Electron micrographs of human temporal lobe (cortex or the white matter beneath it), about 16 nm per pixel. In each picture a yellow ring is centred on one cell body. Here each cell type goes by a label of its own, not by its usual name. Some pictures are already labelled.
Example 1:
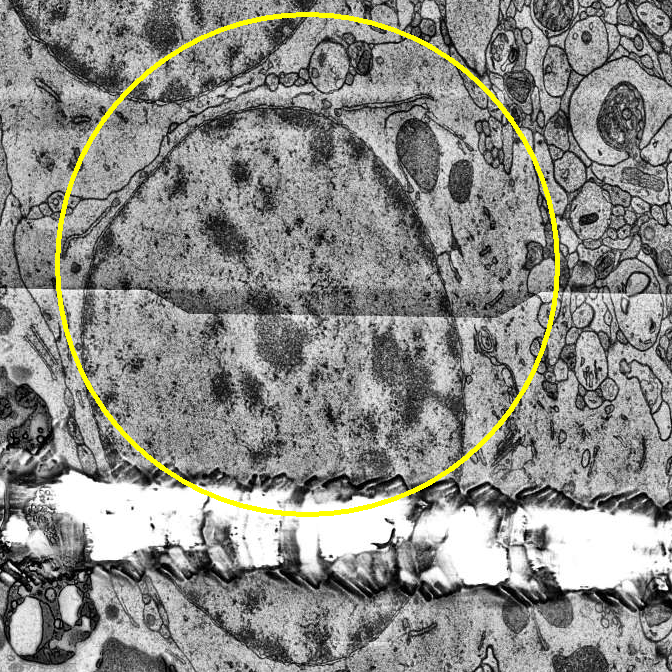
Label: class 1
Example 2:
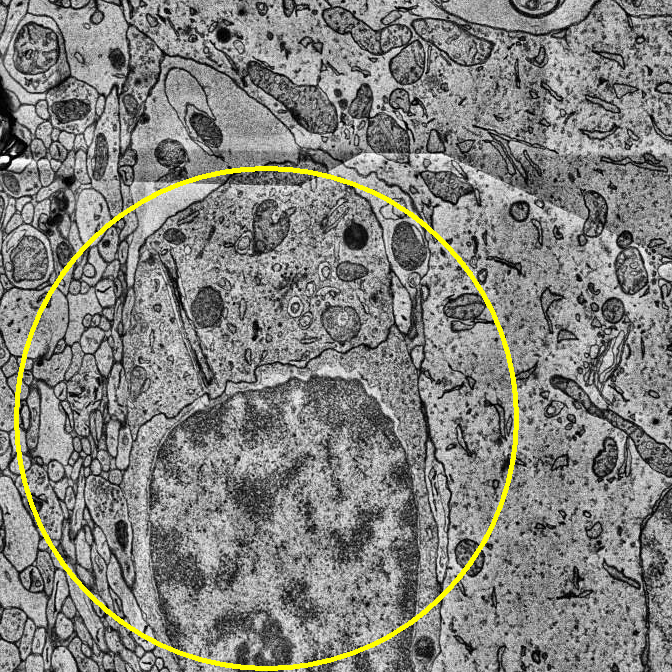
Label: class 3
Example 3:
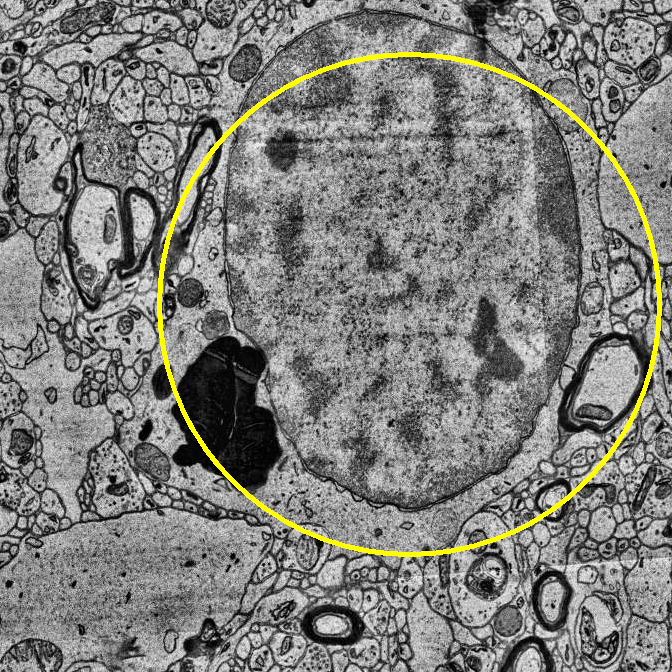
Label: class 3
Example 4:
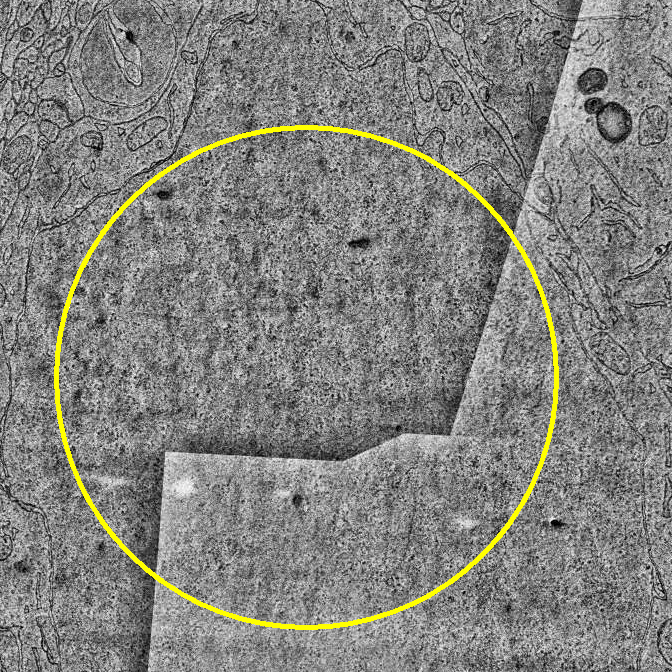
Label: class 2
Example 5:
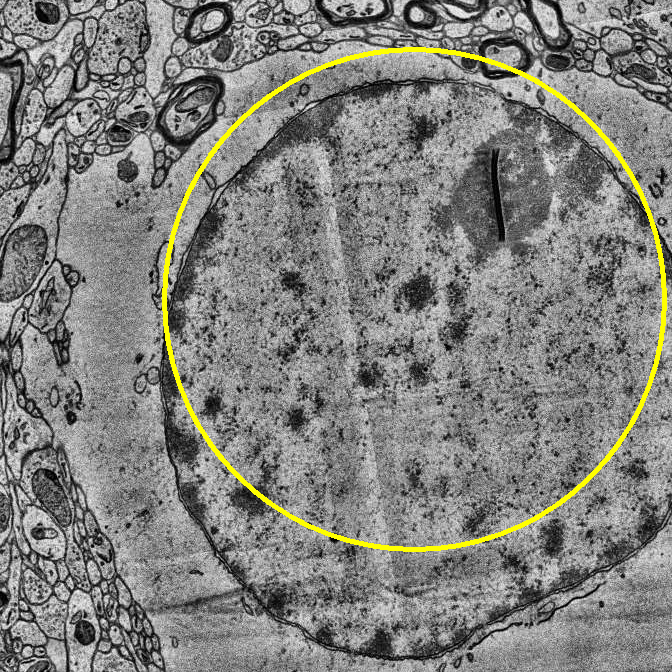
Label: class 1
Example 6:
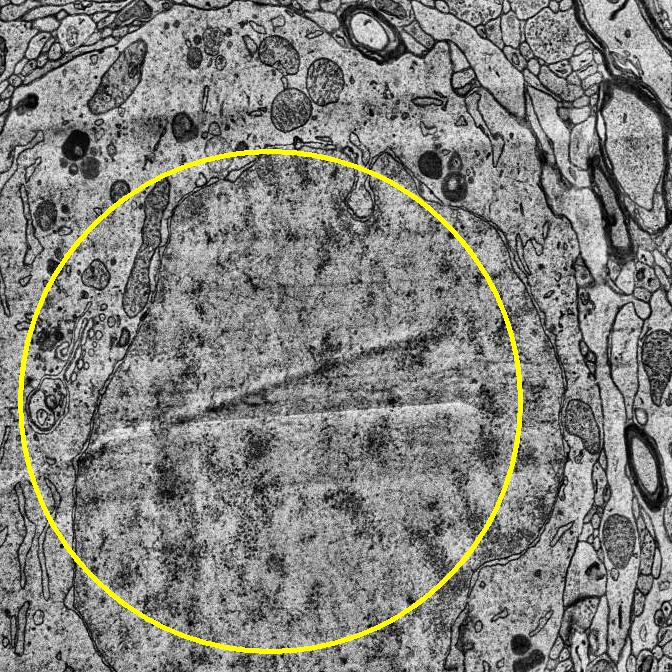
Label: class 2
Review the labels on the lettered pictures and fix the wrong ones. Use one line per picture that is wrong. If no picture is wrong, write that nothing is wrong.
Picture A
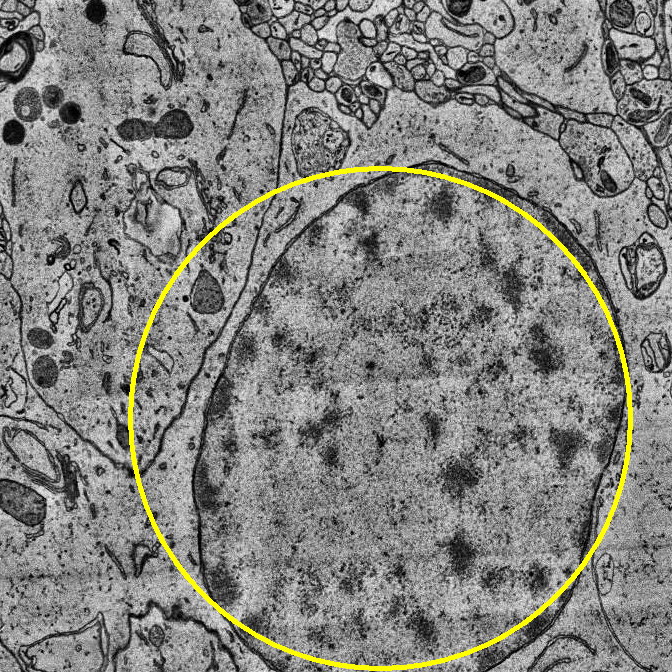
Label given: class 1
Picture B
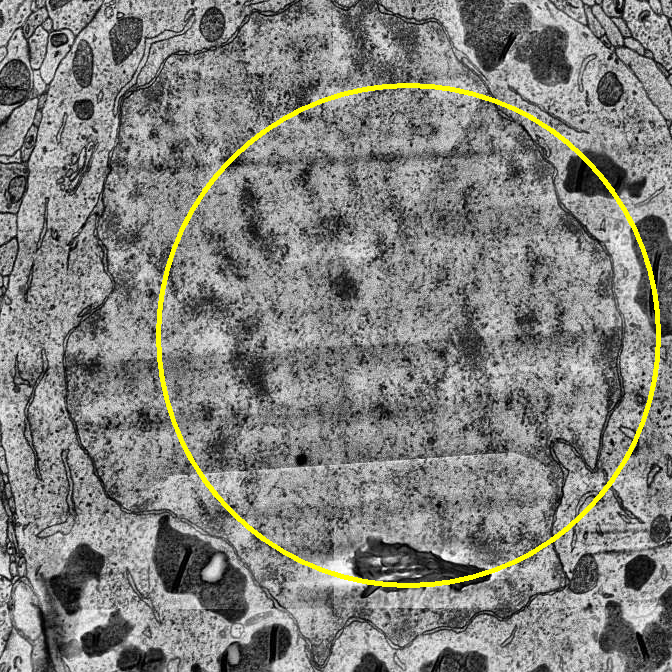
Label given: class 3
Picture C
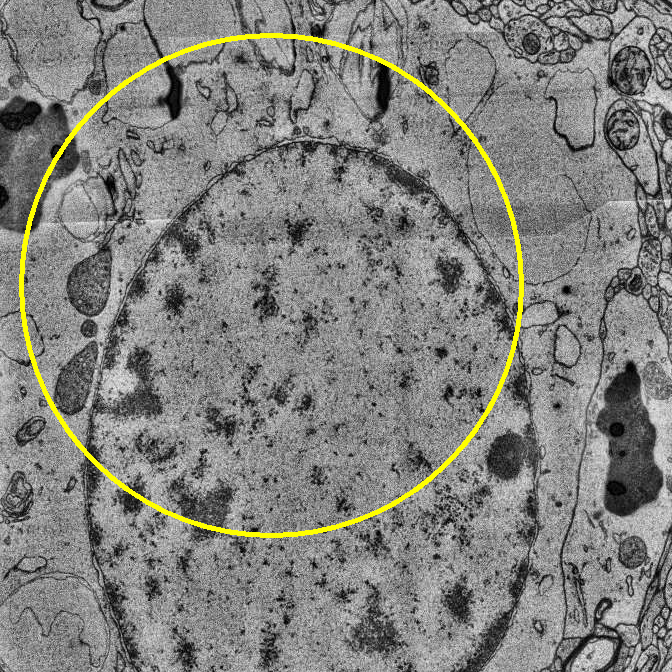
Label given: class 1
B: not class 3 but class 2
